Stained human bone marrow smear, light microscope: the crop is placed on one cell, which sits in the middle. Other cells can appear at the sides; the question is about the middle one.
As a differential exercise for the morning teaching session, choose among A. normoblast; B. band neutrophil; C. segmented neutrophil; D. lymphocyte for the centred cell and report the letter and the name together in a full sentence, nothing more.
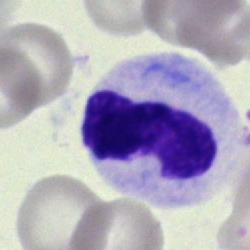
The central cell in this crop is a band neutrophil, so the correct choice is option B.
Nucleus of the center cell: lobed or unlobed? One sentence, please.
What stands out is a nucleus forming one compact round, oval or kidney-shaped mass.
